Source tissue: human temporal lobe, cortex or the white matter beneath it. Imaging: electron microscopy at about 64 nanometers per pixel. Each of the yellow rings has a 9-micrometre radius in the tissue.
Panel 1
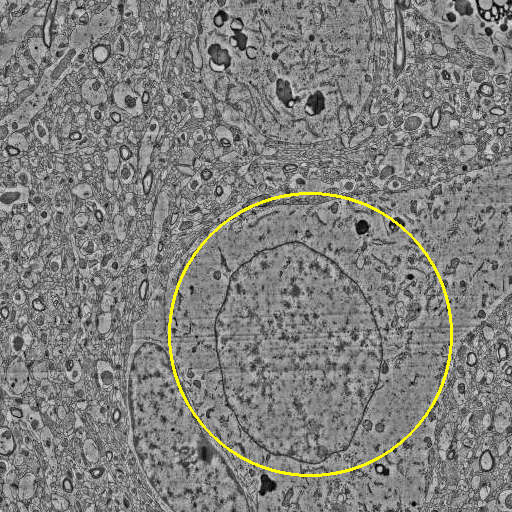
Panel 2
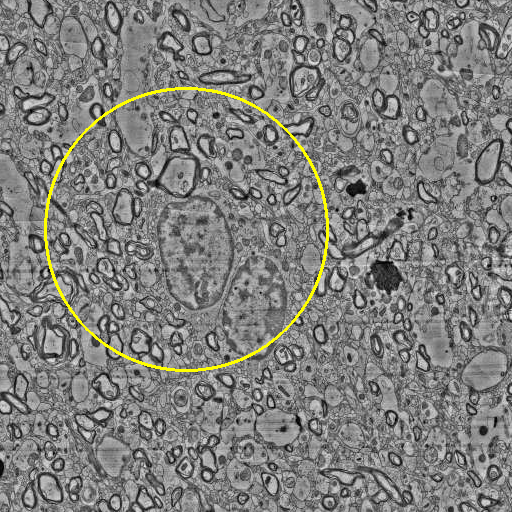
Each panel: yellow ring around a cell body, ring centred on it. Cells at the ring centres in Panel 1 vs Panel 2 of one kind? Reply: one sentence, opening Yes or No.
No, Panel 1 and Panel 2 have cells of two kinds at the ring centres.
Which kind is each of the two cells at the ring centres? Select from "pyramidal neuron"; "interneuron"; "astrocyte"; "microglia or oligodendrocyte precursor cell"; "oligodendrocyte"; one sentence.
The cell at the centre of the ring is a pyramidal neuron in the first picture and an oligodendrocyte in the second.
